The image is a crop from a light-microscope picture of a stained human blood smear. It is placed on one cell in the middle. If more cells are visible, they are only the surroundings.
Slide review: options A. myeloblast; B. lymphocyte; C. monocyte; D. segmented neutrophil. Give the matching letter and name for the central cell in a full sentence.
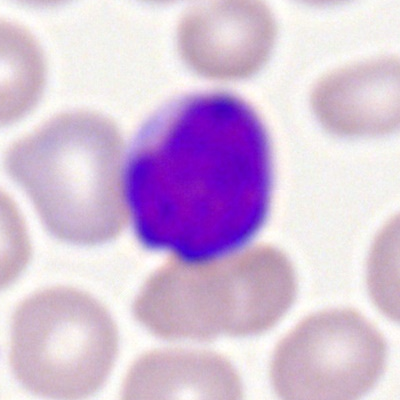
Option A is the right one, for the cell in the middle is a myeloblast.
